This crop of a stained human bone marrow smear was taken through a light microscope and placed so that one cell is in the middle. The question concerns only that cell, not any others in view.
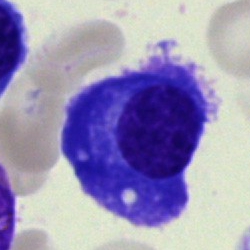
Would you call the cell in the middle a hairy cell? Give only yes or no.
no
